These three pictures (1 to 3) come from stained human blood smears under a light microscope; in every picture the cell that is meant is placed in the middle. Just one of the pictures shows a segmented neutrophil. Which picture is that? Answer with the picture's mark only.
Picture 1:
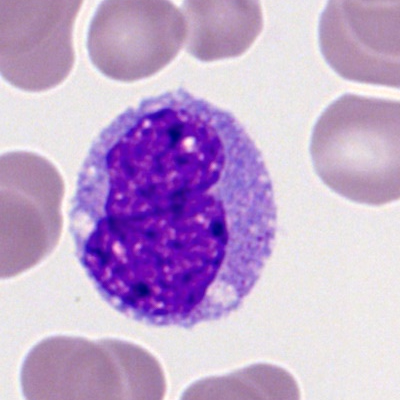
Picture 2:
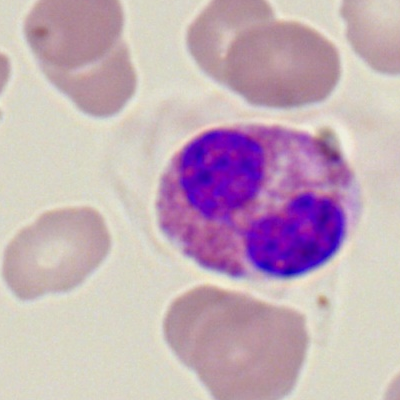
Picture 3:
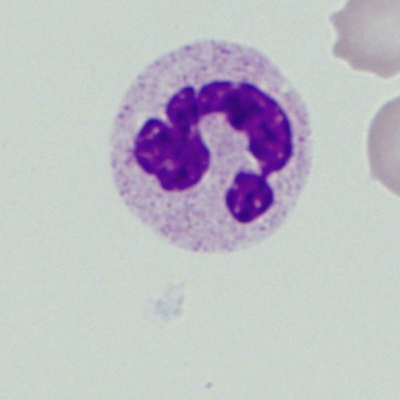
3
